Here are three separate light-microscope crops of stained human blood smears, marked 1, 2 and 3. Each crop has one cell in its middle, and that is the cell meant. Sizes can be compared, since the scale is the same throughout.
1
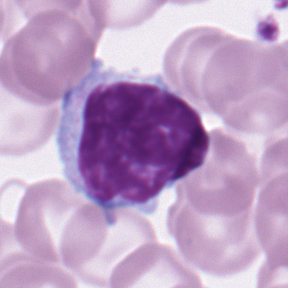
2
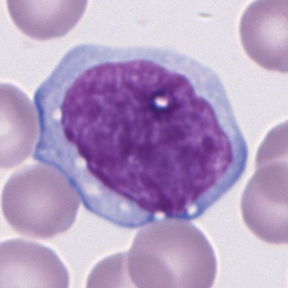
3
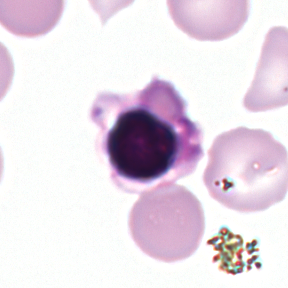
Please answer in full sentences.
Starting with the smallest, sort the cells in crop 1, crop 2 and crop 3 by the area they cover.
From the smallest up, the order is 3, 1, 2.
